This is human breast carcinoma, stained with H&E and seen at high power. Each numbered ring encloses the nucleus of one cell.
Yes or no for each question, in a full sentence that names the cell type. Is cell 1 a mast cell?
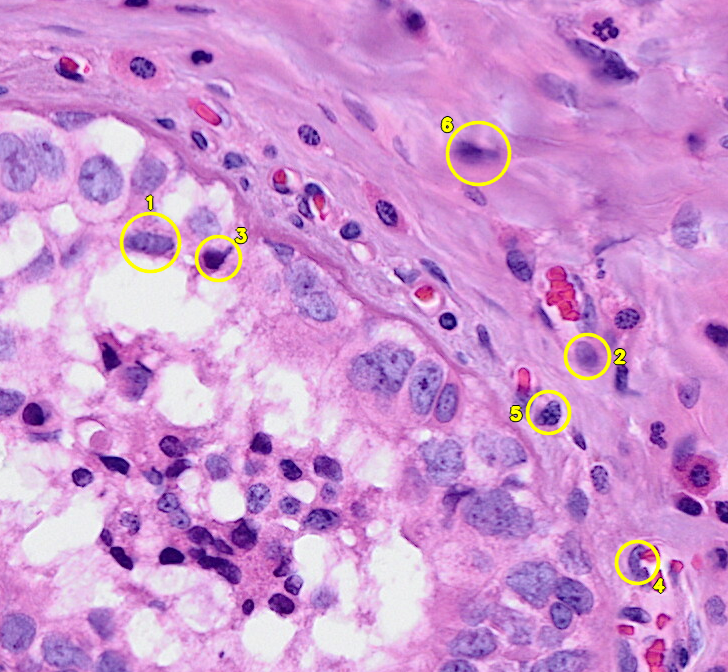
No, a carcinoma cell, not a mast cell, is the cell with number 1.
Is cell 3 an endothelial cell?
No, the identification of cell 3 as an endothelial cell is incorrect; it is a carcinoma cell.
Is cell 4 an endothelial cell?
Yes, the cell bearing the number 4 is an endothelial cell.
